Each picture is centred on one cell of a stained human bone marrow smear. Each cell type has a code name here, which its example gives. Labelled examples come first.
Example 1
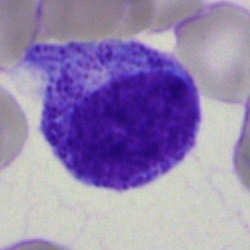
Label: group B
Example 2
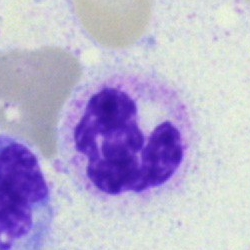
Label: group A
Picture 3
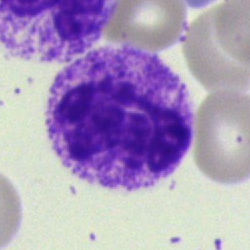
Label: group A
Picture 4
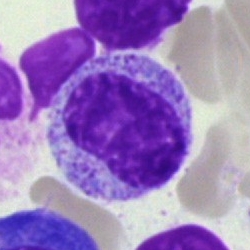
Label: group B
